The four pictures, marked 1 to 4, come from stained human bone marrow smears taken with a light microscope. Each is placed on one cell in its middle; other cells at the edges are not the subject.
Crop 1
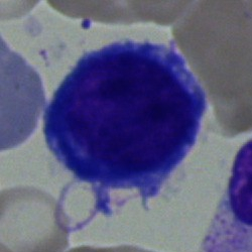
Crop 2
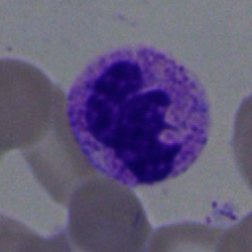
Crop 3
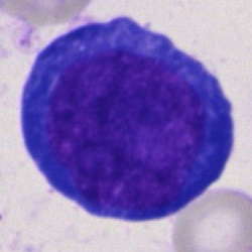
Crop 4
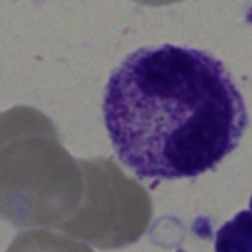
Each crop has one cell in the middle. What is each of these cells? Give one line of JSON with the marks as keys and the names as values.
{"1": "proerythroblast", "2": "segmented neutrophil", "3": "proerythroblast", "4": "band neutrophil"}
